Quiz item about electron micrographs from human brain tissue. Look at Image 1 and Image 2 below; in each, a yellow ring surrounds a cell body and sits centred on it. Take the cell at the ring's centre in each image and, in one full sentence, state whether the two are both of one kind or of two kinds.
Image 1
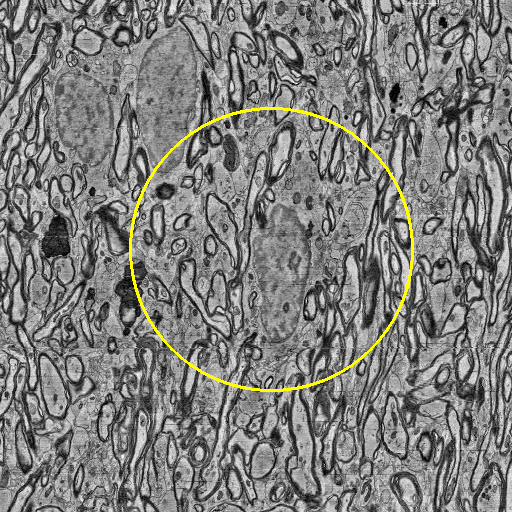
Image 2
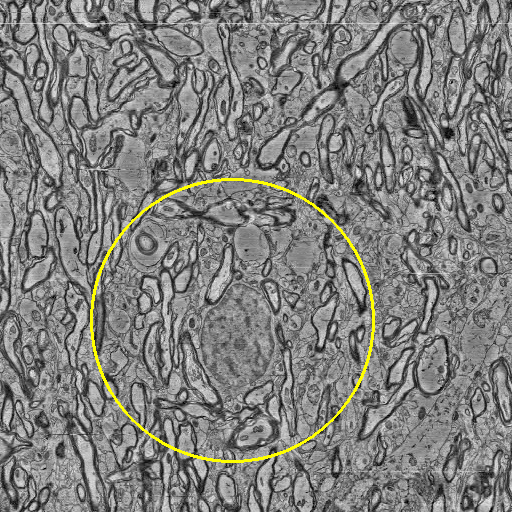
In Image 1 and Image 2, the cells at the ring centres are both of one kind.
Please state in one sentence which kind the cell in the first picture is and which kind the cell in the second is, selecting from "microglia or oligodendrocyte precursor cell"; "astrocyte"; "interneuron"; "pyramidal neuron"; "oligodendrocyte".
Each of the two rings is centred on an oligodendrocyte.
